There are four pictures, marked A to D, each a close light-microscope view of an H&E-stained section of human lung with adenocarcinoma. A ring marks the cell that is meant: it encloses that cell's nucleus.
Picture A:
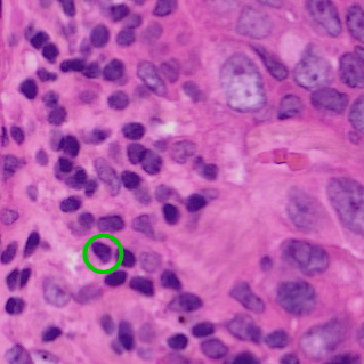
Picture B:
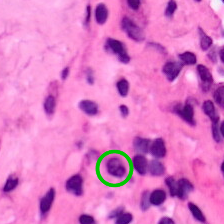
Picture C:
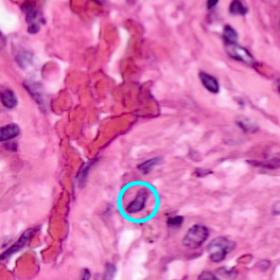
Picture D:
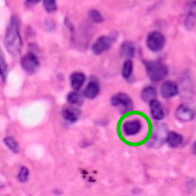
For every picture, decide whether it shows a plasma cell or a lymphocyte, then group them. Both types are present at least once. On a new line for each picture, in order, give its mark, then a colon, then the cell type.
A: lymphocyte
B: plasma cell
C: plasma cell
D: lymphocyte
